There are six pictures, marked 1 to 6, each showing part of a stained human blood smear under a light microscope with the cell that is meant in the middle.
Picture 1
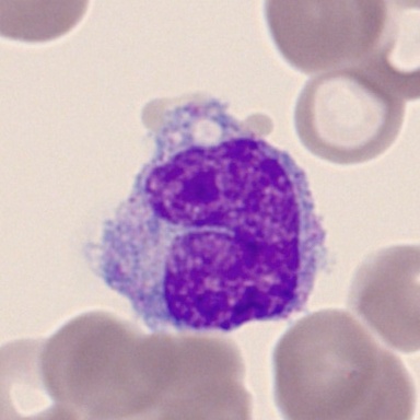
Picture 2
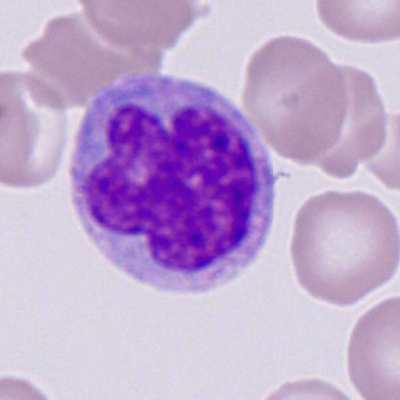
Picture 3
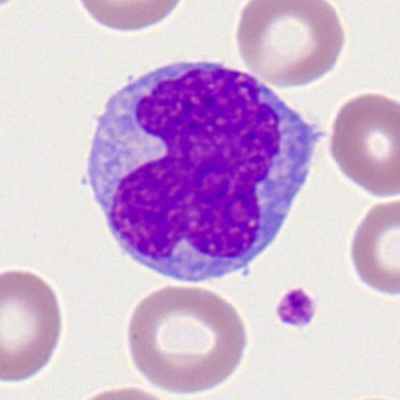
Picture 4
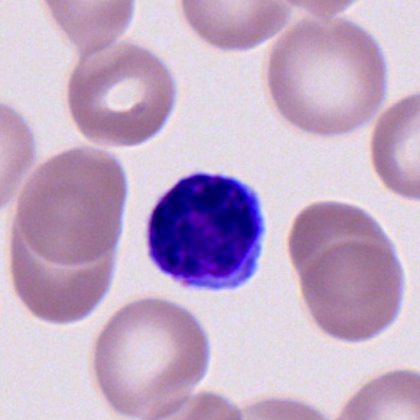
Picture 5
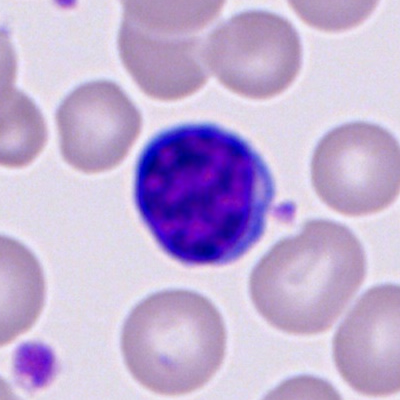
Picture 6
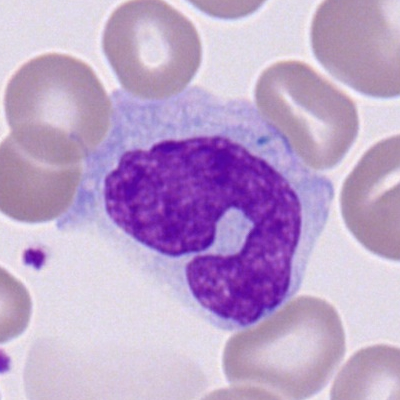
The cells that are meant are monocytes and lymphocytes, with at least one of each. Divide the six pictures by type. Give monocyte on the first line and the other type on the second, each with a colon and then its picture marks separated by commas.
monocyte: 1, 2, 3, 6
lymphocyte: 4, 5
